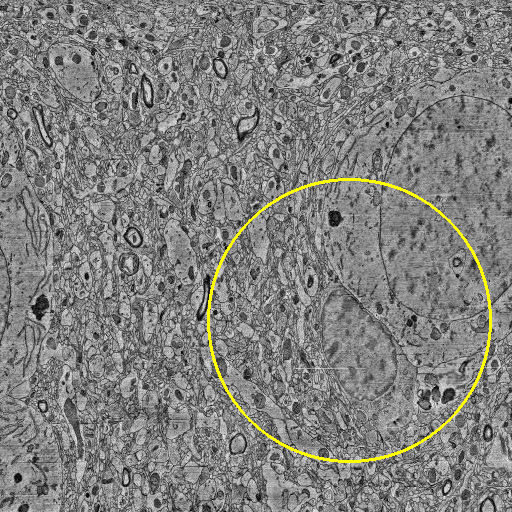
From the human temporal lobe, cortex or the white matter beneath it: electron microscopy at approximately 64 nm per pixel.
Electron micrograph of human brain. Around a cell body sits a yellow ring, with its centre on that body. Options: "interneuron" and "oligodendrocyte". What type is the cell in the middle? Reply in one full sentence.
The cell sitting at the centre of the yellow ring is an oligodendrocyte.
